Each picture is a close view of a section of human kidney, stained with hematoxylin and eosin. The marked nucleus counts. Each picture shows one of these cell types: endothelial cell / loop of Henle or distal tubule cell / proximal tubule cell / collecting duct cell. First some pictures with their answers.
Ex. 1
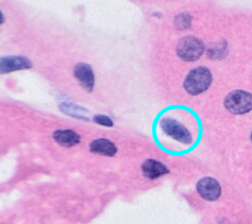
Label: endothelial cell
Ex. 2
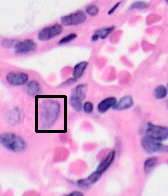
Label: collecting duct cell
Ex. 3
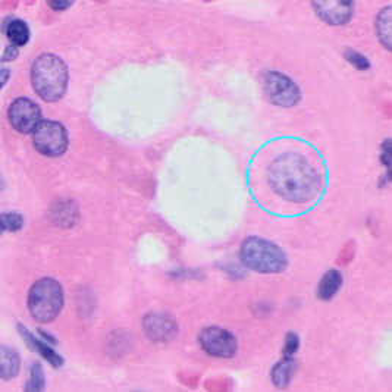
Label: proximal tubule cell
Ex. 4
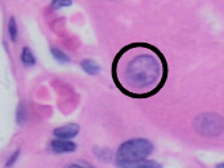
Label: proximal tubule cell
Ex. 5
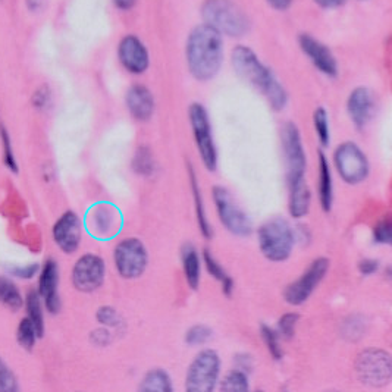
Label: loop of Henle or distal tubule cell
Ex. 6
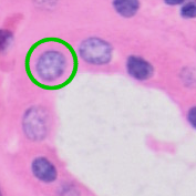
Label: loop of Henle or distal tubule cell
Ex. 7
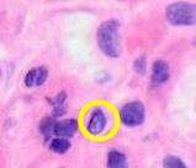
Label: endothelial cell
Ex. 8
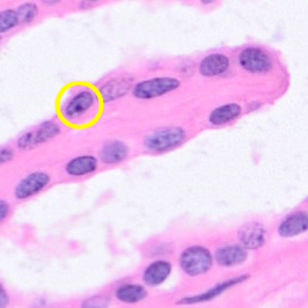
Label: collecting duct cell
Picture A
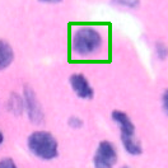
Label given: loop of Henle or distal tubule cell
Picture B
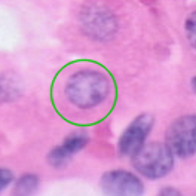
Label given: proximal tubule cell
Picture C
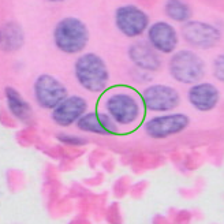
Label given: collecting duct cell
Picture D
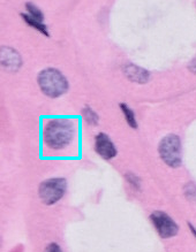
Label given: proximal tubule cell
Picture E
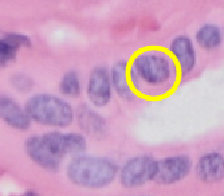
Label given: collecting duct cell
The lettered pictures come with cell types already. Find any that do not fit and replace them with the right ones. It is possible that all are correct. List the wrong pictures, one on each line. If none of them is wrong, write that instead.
D: not proximal tubule cell but loop of Henle or distal tubule cell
